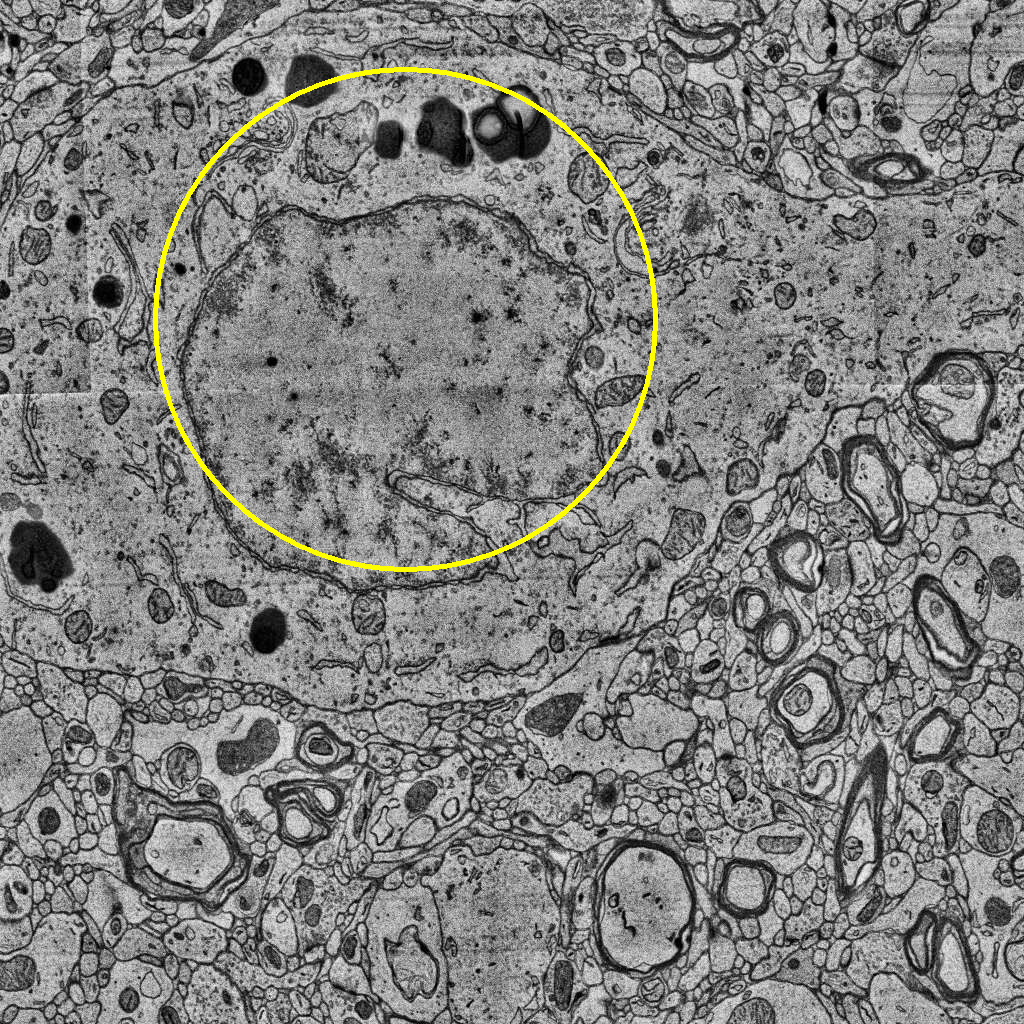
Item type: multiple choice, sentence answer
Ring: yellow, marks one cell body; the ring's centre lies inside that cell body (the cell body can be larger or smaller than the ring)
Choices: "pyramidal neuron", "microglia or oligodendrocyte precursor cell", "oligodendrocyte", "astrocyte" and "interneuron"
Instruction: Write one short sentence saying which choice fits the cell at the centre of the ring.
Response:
The centre of this ring lies on a pyramidal neuron.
